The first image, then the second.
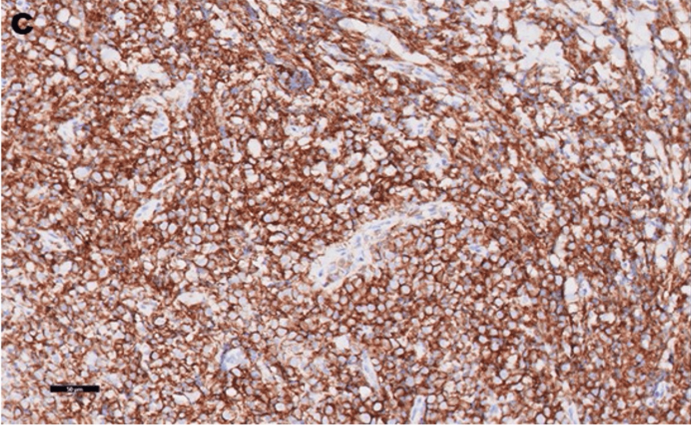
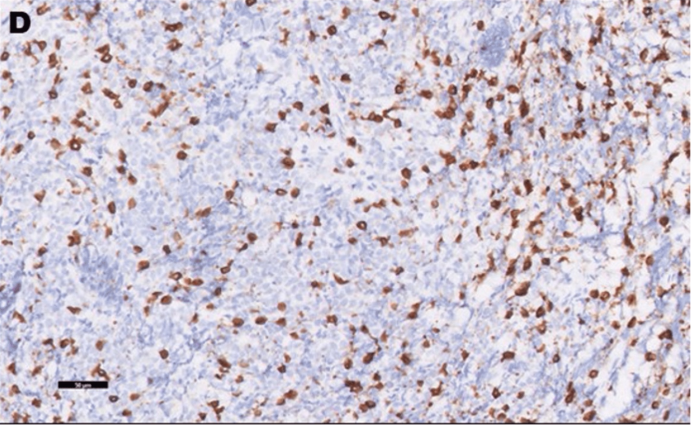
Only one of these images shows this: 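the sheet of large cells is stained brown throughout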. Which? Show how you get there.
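Second image: the main sheet of cells is blue and unstained, with only scattered small brown cells. First image: almost every cell of the dense sheet has a brown outline.
Hence: the first image.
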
